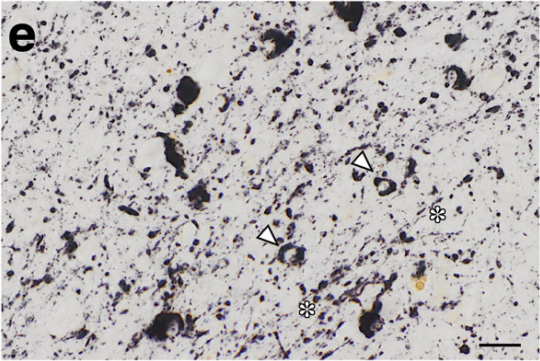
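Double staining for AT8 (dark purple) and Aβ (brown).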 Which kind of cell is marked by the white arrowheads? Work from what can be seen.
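Each arrowhead points to a small round cell. The dark stain forms a ring around a pale centre in these cells. So: oligodendroglia-like cells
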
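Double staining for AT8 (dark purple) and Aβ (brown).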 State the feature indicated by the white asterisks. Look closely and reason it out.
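The asterisks lie among many dark thread-like and dot-like fragments. The fragments are spread densely throughout the field. So: fibers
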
